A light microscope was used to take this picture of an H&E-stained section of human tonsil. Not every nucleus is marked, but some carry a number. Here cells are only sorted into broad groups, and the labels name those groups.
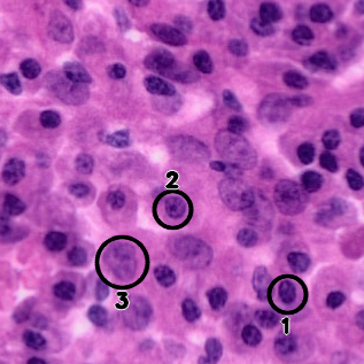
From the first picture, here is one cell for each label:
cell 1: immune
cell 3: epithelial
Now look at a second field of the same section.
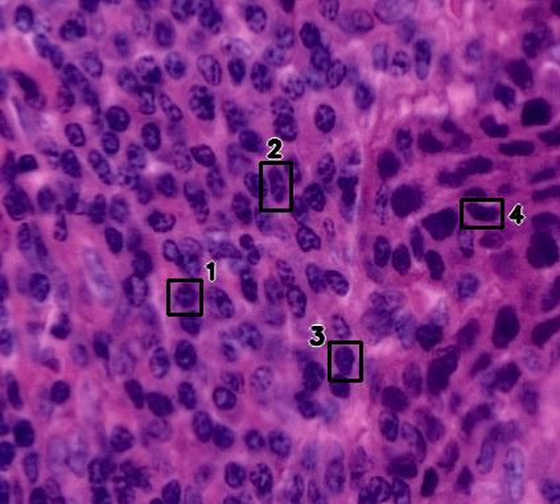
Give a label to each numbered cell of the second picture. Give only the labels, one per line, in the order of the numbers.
immune
immune
immune
epithelial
